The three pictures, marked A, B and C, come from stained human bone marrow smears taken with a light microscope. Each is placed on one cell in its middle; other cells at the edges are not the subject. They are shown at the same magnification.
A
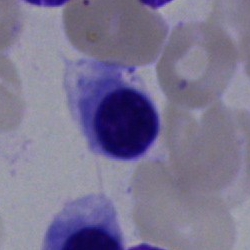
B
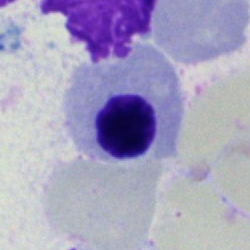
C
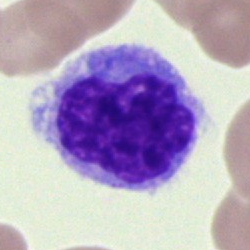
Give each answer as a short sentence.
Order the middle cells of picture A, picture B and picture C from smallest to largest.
The order is A, B, C, beginning with the smallest.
